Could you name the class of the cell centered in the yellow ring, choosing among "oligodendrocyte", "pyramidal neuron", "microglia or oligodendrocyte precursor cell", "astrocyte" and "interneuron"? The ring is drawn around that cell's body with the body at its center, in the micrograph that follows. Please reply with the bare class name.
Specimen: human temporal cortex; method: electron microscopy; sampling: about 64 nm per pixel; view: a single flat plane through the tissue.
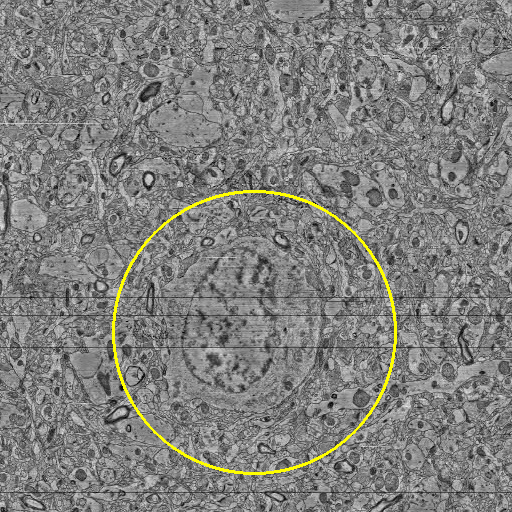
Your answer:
interneuron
